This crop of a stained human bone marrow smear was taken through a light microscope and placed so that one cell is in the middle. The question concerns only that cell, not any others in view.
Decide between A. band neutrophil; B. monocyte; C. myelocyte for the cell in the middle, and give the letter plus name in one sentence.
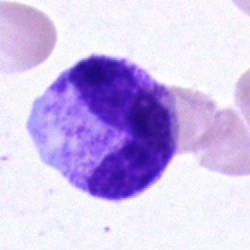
Seen at the centre of the crop is a band neutrophil, so option A is correct.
